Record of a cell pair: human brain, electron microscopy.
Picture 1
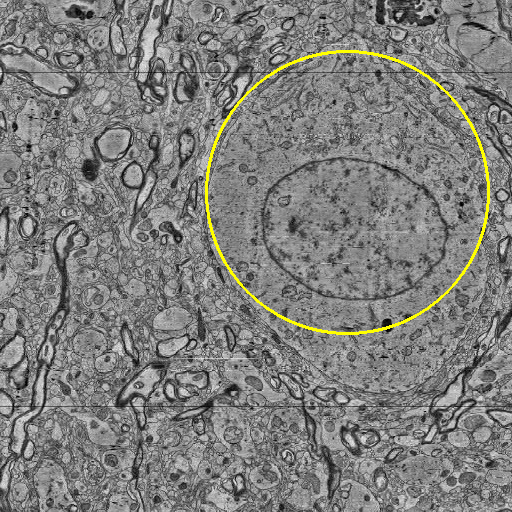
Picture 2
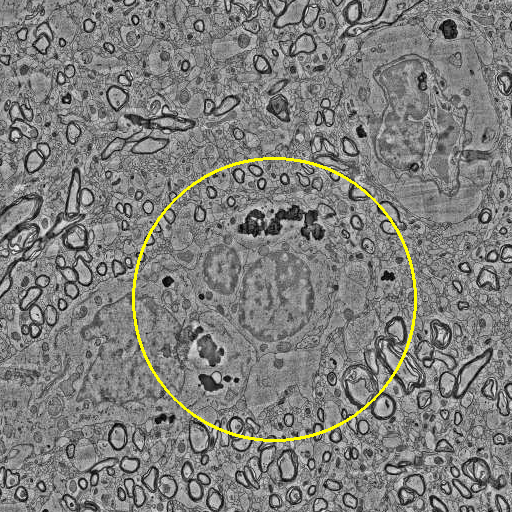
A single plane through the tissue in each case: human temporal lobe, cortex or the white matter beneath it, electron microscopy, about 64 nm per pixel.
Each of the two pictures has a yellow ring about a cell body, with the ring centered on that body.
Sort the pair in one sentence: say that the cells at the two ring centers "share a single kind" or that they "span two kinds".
The cells centered in the rings of Pictures 1 and 2 span two kinds.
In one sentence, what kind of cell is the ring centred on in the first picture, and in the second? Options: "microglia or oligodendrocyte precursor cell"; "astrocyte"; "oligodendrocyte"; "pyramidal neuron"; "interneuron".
The cell at the centre of the second ring is an oligodendrocyte; the first ring's cell is a pyramidal neuron.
